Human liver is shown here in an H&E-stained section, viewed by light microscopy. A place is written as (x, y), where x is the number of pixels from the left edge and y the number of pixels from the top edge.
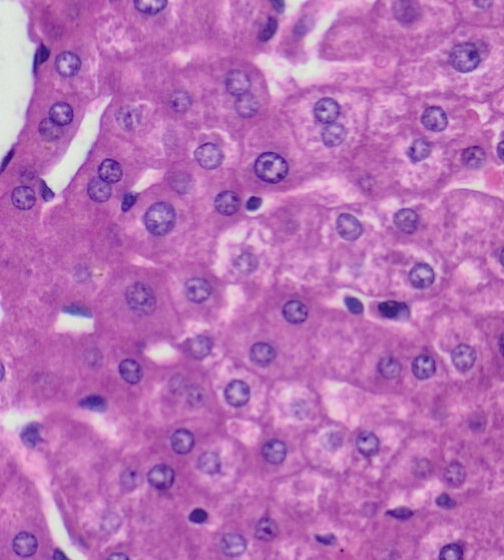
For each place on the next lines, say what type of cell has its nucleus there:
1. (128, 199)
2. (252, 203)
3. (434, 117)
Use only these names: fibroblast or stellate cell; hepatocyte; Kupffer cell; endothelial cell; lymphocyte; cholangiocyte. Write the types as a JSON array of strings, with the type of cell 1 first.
["fibroblast or stellate cell", "lymphocyte", "hepatocyte"]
